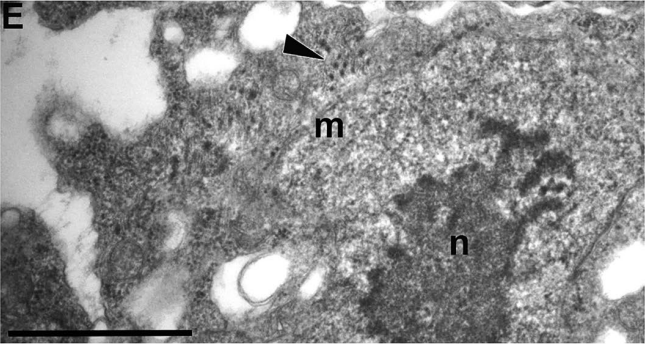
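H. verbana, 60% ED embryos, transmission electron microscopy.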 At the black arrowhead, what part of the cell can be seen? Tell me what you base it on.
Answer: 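Contractile material. The cell otherwise has granular cytoplasm and a large nucleus.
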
